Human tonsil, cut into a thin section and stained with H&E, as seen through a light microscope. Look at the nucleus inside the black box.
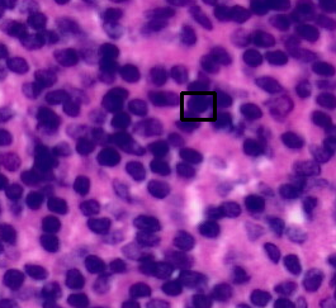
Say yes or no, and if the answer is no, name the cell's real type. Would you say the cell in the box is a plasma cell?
No, it is a small lymphocyte.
